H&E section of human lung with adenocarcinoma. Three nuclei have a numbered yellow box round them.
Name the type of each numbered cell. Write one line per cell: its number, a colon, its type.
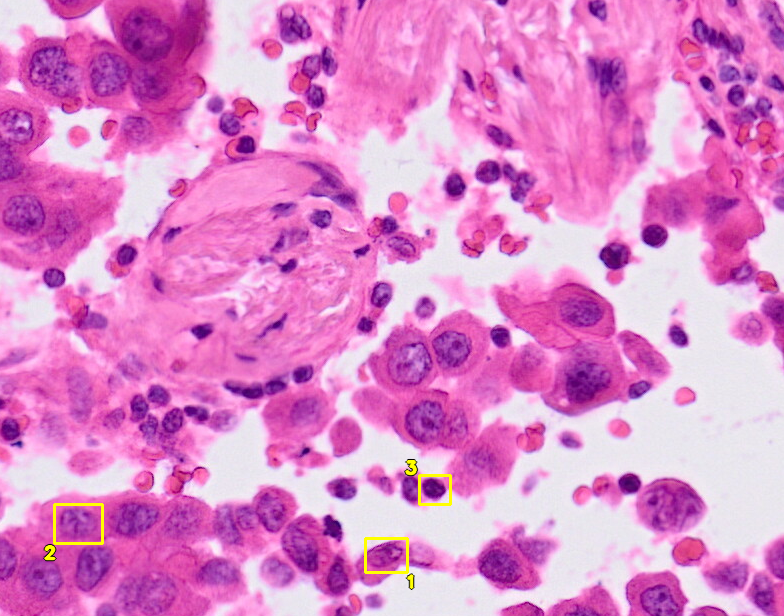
1: macrophage or monocyte
2: carcinoma cell
3: lymphocyte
